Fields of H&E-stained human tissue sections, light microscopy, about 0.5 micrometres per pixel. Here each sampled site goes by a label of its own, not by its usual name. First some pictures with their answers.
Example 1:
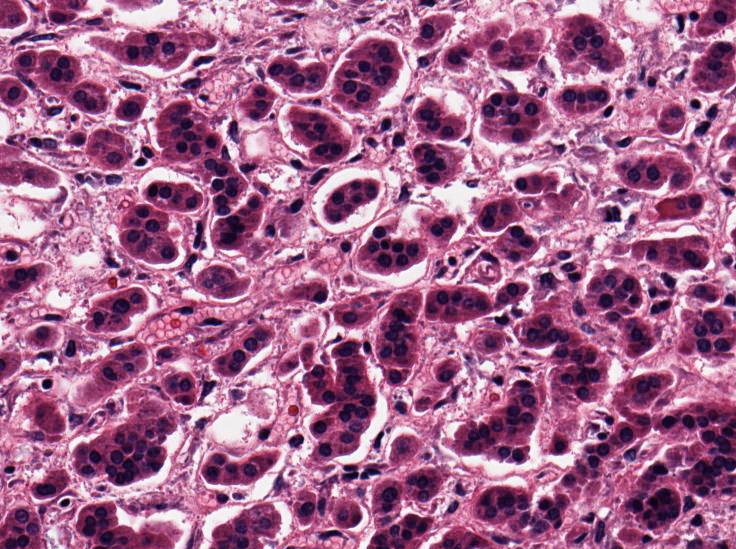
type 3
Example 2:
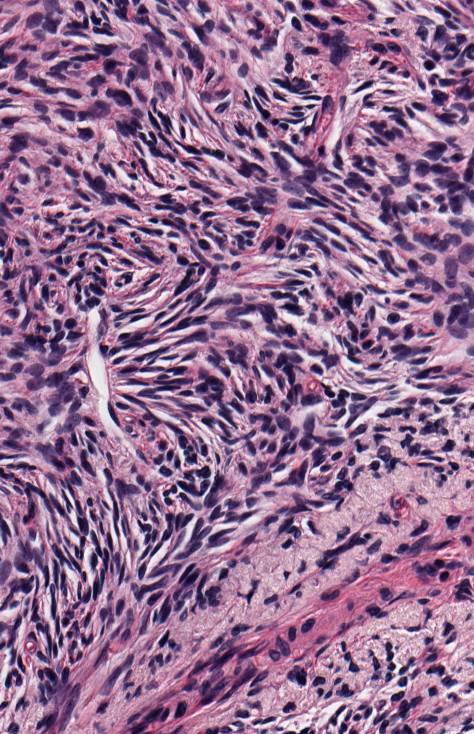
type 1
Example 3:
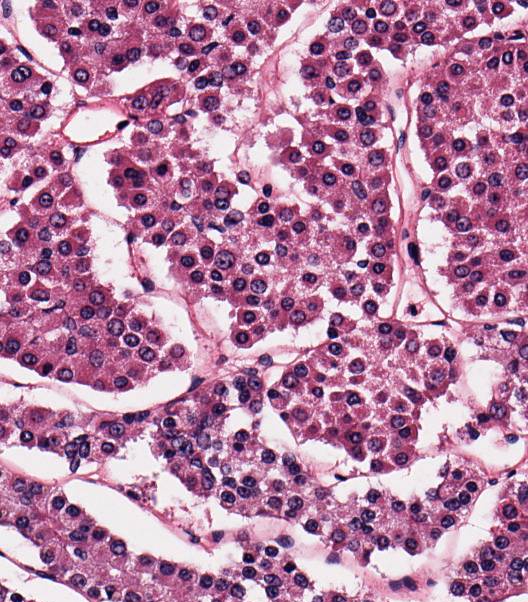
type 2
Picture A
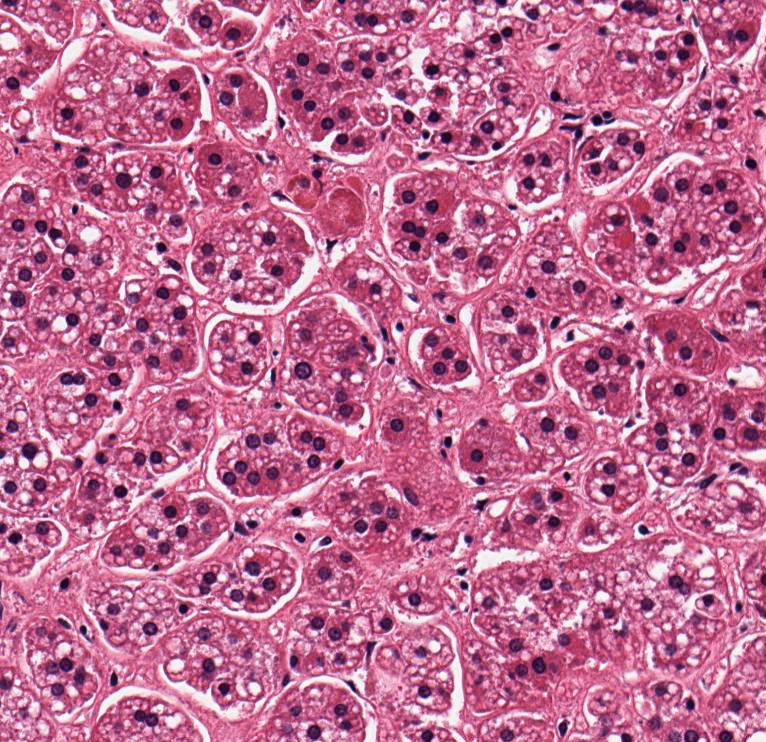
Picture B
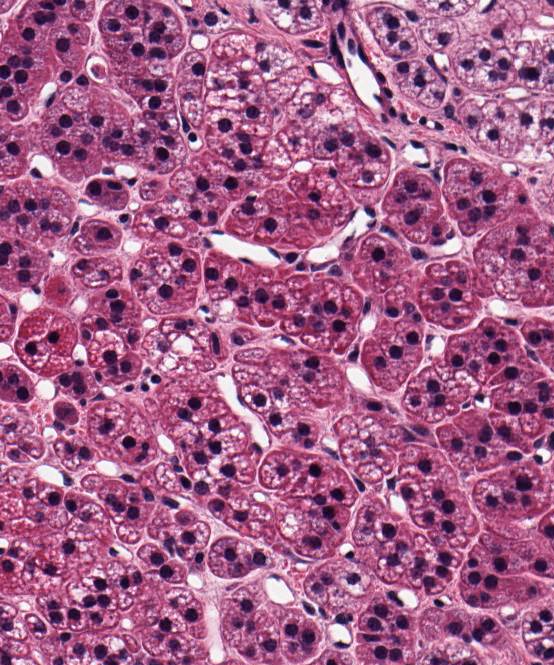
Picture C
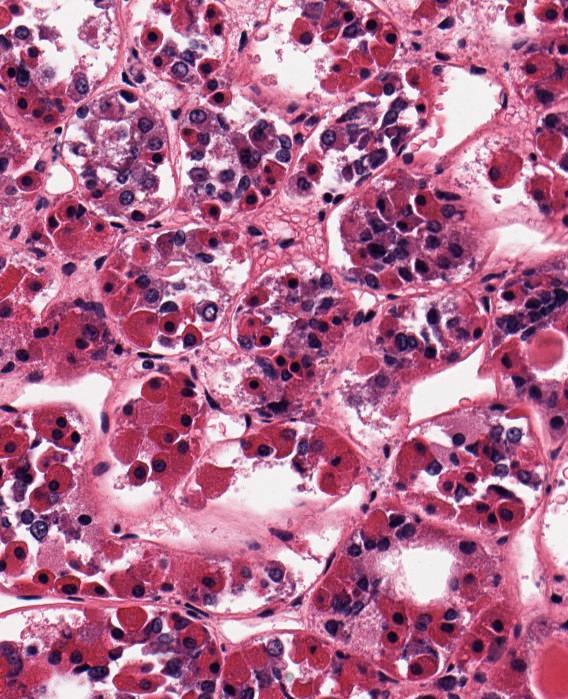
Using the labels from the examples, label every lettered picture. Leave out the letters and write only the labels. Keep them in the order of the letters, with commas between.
type 3, type 3, type 2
